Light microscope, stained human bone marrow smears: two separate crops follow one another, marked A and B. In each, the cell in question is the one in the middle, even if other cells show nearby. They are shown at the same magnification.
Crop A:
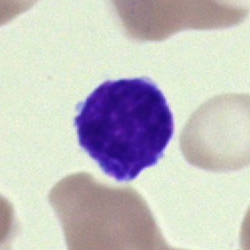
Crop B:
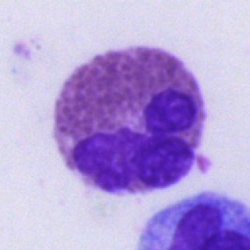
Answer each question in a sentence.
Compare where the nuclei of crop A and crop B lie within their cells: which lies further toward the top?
Seen within its cell, the nucleus in crop A lies further toward the top.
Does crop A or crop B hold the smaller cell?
The cell in crop A is smaller; the one in crop B has about 2 times its area.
